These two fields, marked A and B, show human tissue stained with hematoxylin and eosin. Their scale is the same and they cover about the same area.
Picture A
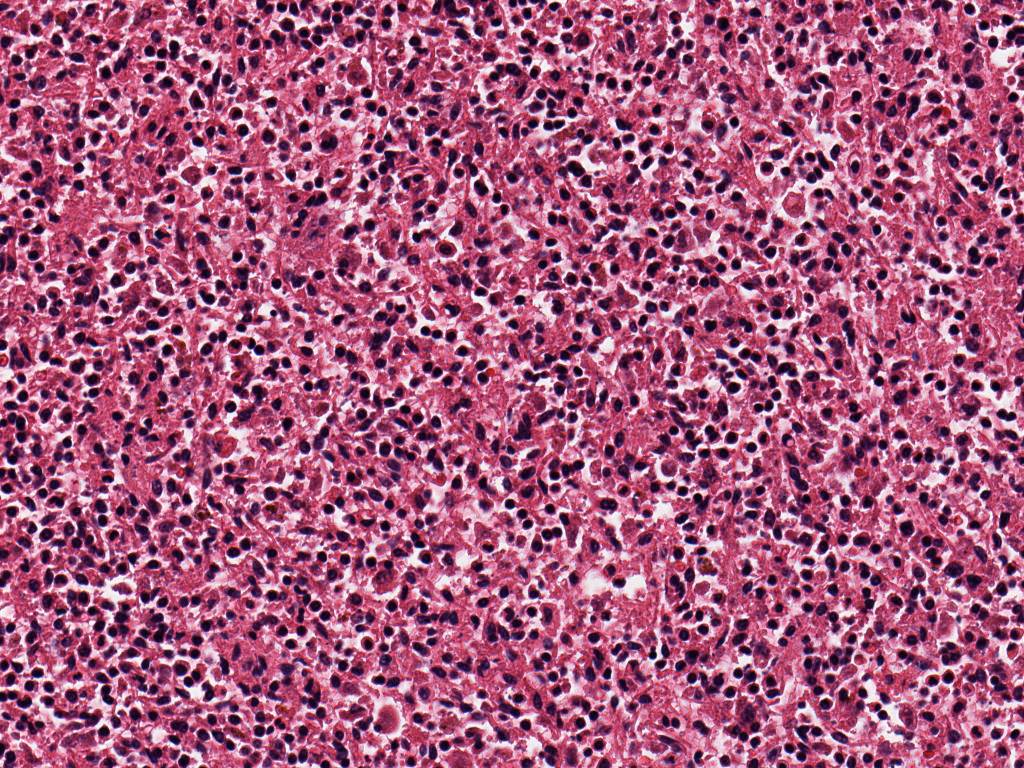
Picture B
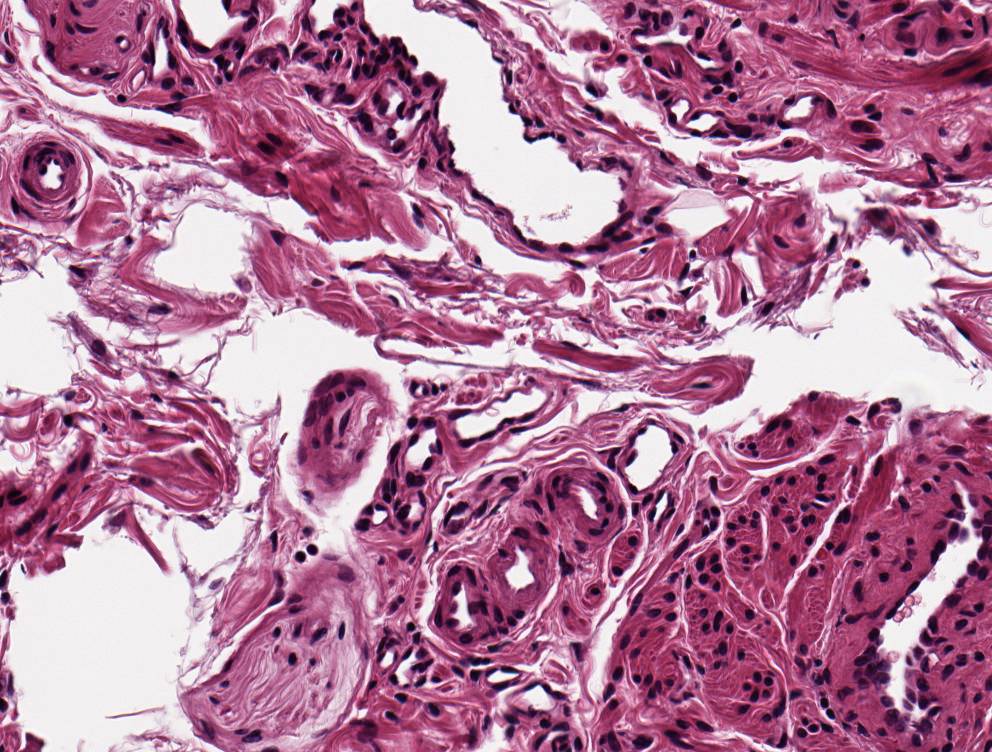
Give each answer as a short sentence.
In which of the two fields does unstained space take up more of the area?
Picture B has more white space.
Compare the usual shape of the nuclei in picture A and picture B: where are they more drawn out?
Longer, more slender nuclei lie in picture B.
